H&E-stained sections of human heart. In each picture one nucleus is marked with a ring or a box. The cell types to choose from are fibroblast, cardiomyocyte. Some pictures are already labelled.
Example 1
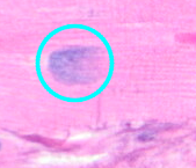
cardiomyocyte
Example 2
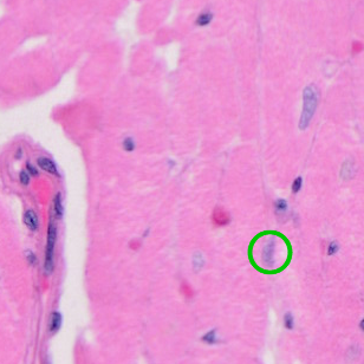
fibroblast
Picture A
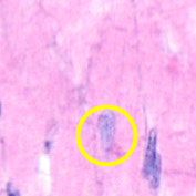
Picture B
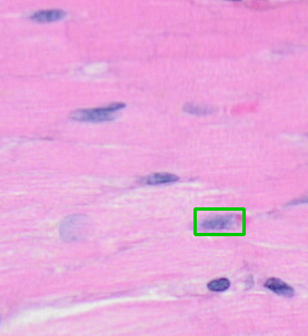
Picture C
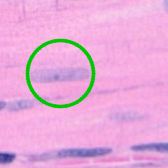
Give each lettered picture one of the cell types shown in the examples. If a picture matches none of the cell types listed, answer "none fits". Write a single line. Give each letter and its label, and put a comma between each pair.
A cardiomyocyte, B none fits, C cardiomyocyte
